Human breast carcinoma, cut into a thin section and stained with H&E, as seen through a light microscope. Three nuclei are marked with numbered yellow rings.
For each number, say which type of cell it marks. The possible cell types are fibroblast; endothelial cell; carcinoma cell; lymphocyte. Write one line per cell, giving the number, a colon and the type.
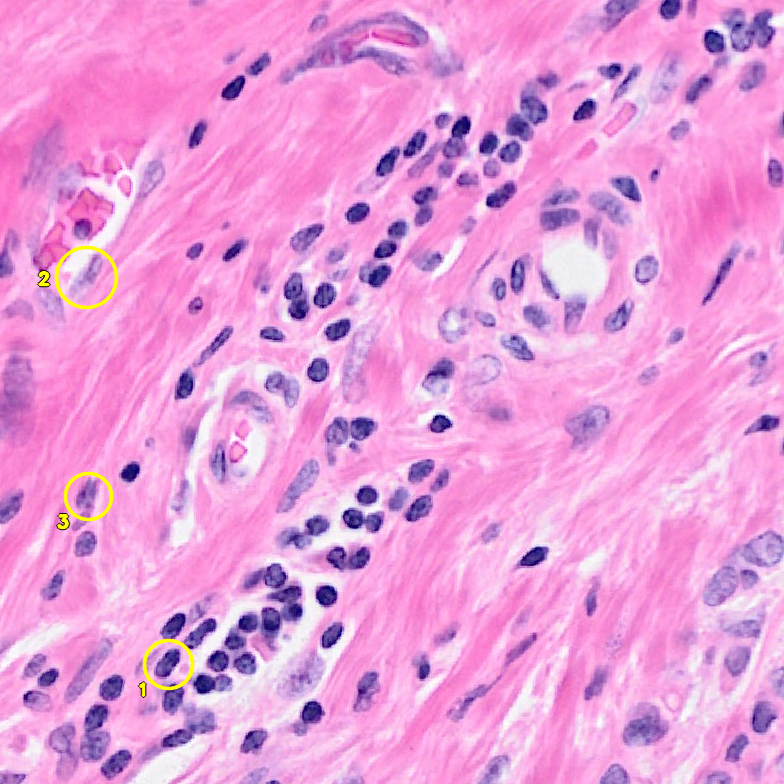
1: lymphocyte
2: endothelial cell
3: lymphocyte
